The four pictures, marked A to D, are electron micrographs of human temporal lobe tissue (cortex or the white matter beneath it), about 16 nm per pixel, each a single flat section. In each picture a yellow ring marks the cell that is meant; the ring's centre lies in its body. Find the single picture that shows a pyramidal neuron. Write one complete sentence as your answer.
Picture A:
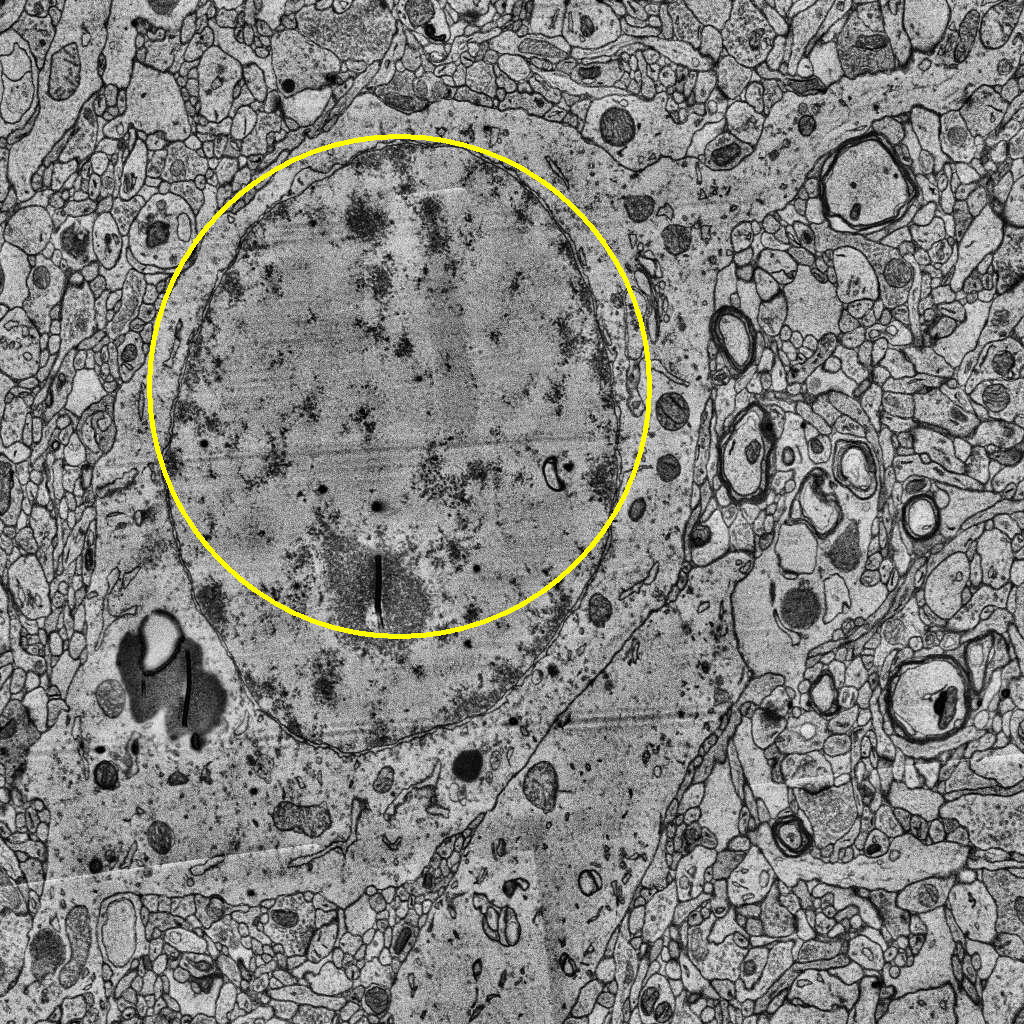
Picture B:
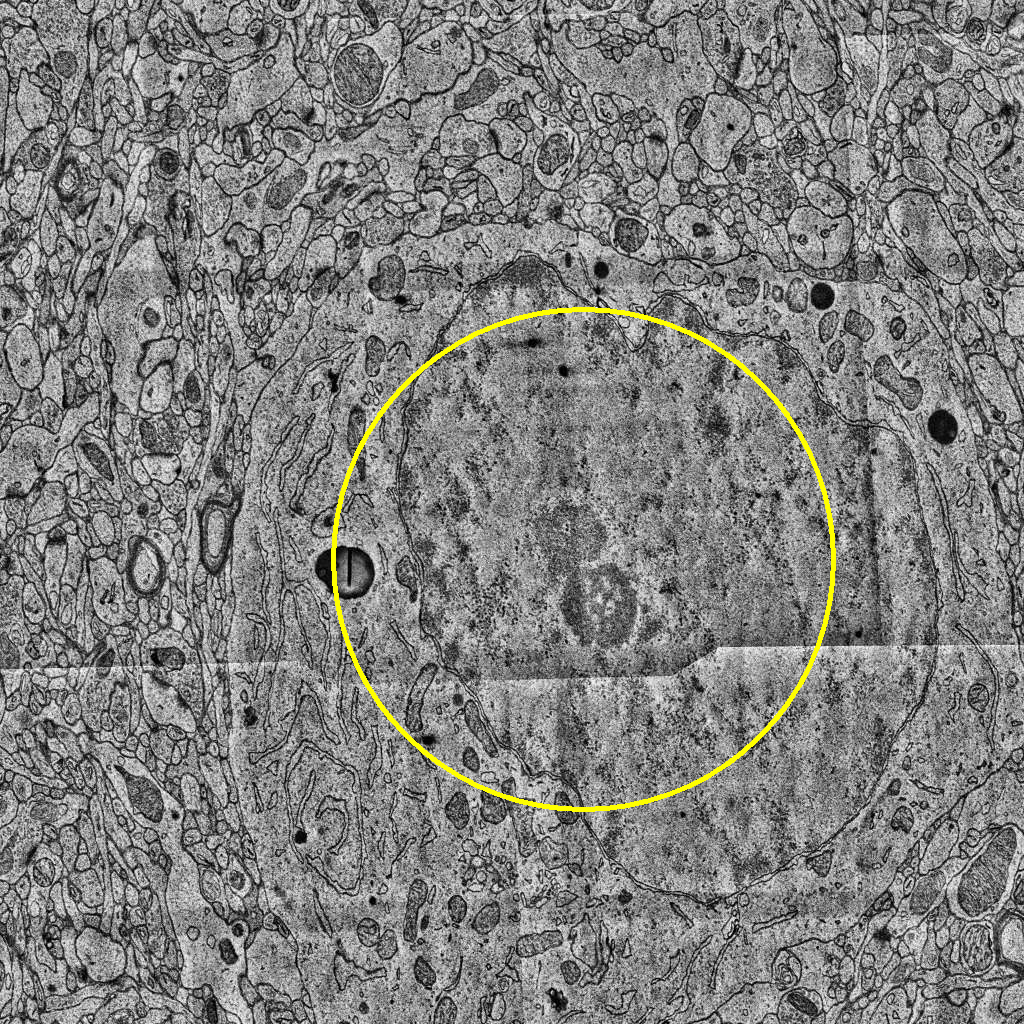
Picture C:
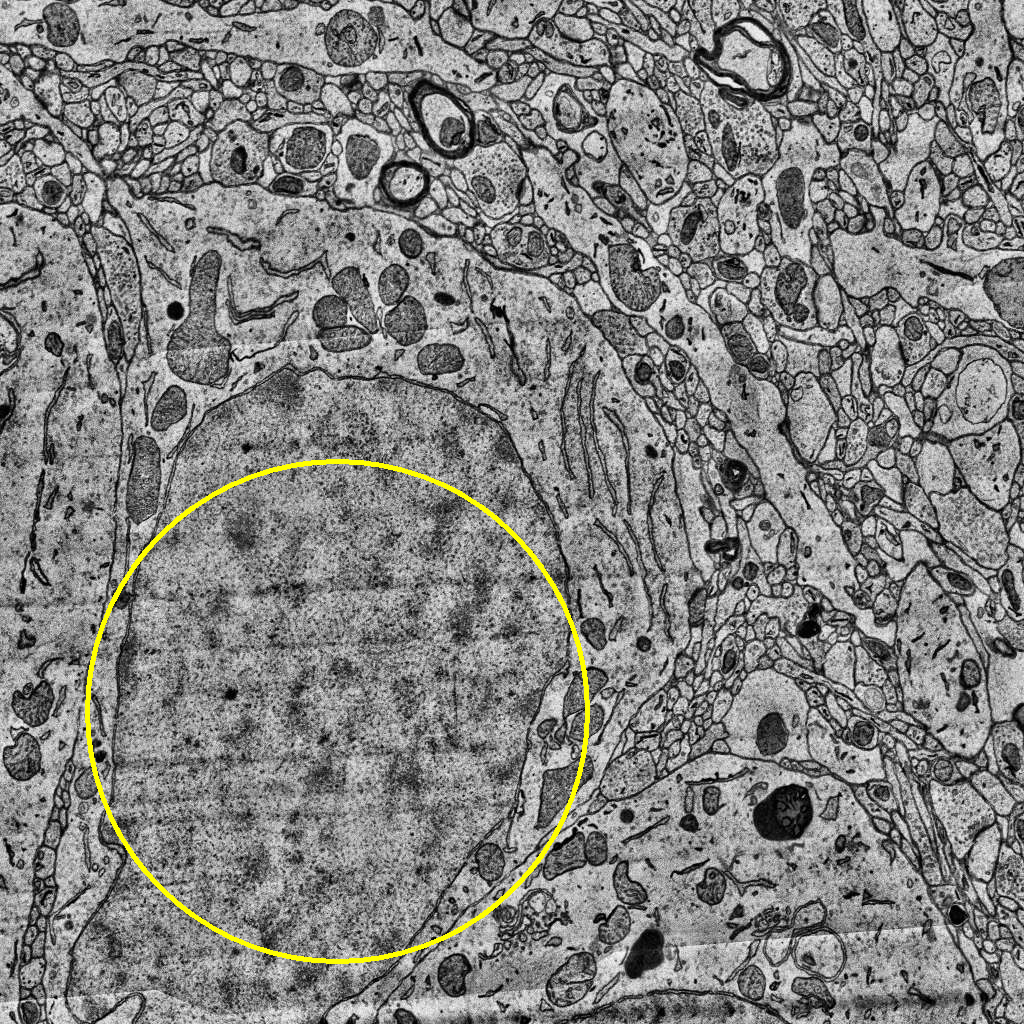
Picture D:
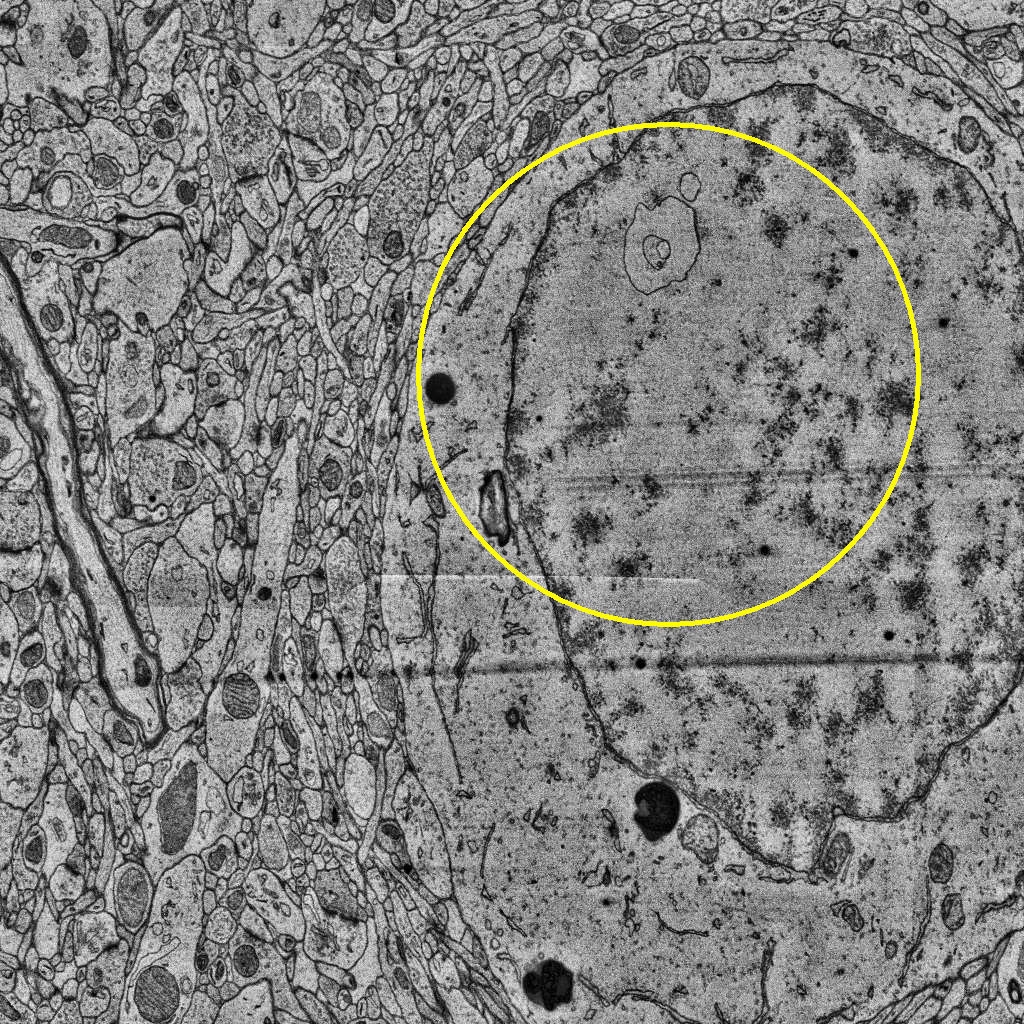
Picture D shows the pyramidal neuron.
